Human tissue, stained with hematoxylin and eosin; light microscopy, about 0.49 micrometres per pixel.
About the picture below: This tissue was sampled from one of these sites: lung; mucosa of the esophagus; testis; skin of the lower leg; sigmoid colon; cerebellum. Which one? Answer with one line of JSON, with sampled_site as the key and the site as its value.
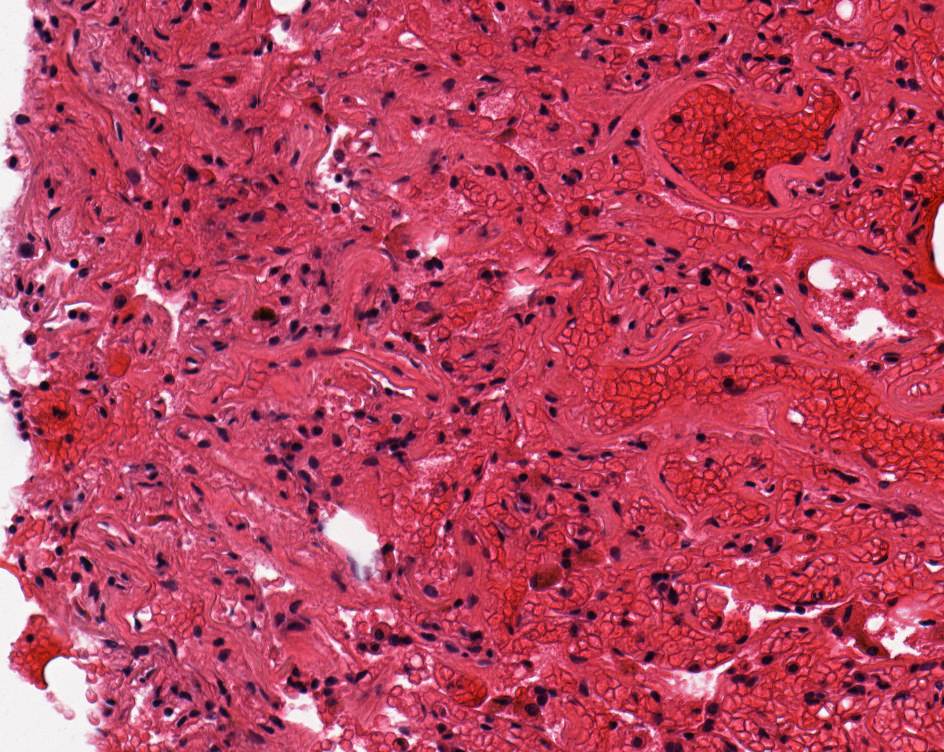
{"sampled_site": "lung"}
